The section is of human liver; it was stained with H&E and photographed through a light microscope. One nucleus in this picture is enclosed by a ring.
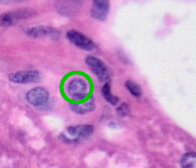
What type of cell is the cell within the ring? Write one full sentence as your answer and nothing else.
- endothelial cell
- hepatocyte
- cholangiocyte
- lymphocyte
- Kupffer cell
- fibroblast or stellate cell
For cell typing purposes, the cell within the ring is a cholangiocyte.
